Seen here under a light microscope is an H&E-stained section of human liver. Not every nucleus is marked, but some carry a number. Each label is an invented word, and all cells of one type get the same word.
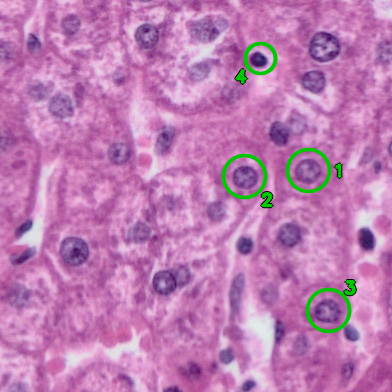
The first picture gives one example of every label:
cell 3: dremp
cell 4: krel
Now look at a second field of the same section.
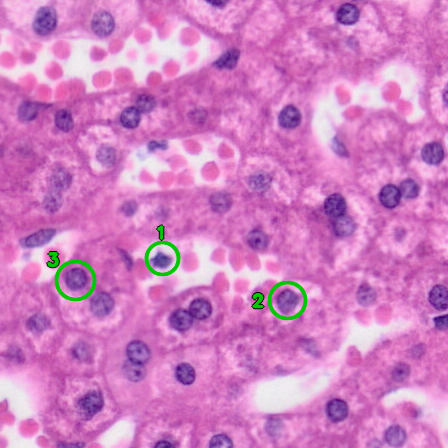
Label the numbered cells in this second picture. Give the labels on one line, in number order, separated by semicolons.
krel; dremp; dremp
